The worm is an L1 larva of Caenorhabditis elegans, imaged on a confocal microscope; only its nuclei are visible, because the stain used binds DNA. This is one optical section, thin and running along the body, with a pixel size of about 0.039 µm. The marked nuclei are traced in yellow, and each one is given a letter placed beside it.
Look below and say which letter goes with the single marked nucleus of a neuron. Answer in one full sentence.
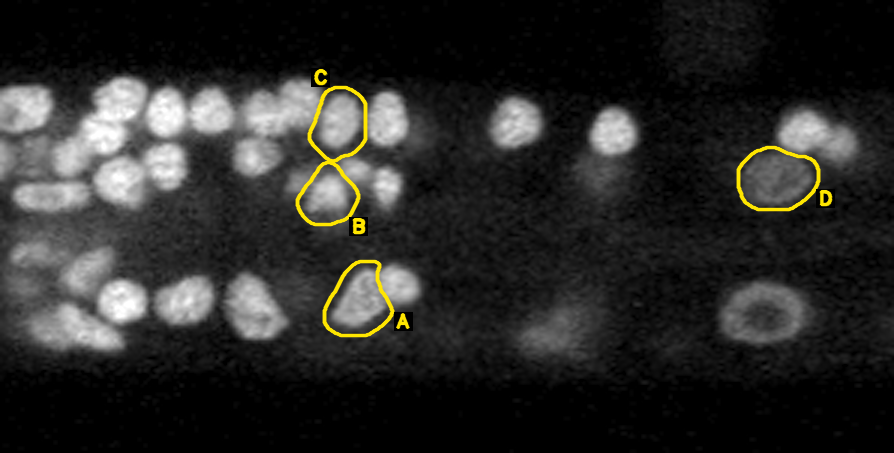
The nucleus of a neuron is C.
